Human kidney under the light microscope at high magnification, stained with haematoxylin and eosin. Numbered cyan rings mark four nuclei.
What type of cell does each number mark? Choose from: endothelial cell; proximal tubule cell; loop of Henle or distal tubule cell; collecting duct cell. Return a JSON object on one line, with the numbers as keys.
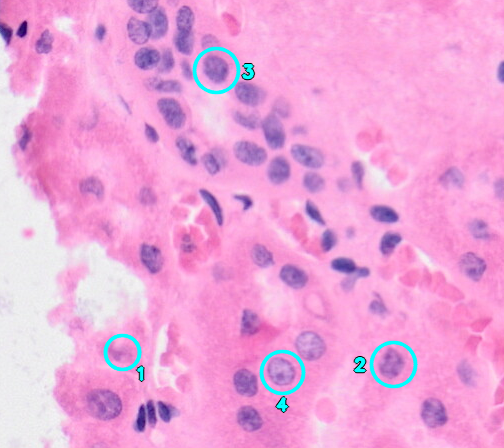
{"1": "proximal tubule cell", "2": "proximal tubule cell", "3": "collecting duct cell", "4": "proximal tubule cell"}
